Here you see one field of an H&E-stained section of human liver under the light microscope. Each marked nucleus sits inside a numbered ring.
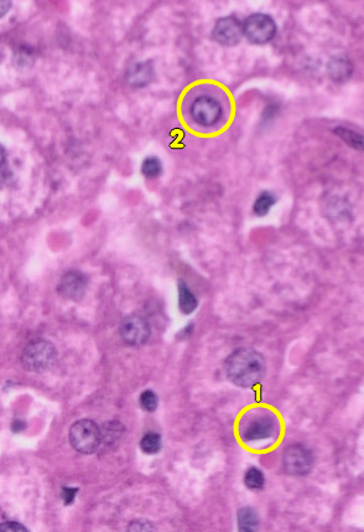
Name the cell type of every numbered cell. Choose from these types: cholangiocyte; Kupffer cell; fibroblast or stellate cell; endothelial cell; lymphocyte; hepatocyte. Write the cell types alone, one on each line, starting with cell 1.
endothelial cell
hepatocyte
